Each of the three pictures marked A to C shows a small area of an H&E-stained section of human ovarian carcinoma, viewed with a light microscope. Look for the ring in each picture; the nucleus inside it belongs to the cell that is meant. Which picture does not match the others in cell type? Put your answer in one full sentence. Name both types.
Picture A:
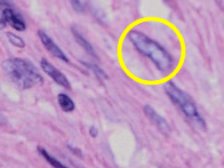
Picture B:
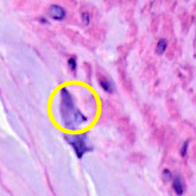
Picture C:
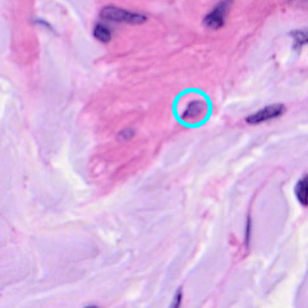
Unlike the rest, which show fibroblasts, picture C shows a smooth muscle cell.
